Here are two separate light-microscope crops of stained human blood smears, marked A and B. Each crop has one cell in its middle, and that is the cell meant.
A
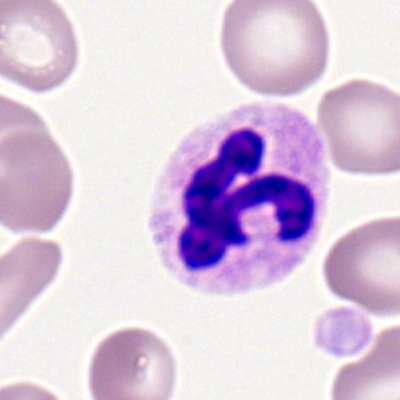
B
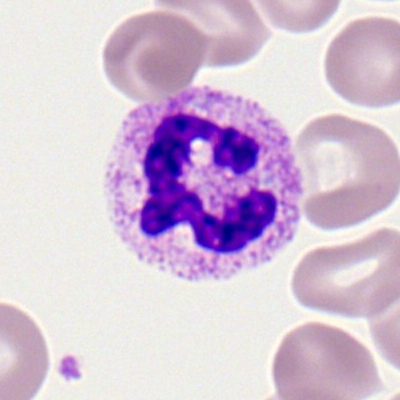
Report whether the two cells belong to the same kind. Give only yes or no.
yes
